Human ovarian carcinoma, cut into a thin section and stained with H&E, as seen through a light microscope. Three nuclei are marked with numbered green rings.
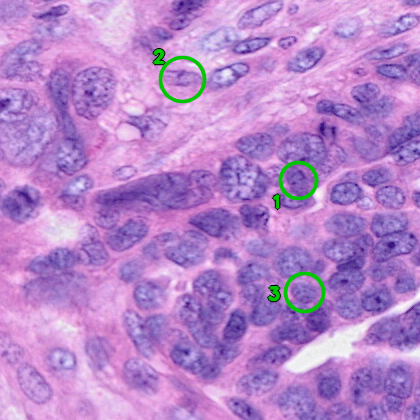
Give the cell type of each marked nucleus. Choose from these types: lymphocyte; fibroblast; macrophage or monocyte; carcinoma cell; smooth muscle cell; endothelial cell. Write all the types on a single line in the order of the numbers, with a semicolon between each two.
carcinoma cell; fibroblast; carcinoma cell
